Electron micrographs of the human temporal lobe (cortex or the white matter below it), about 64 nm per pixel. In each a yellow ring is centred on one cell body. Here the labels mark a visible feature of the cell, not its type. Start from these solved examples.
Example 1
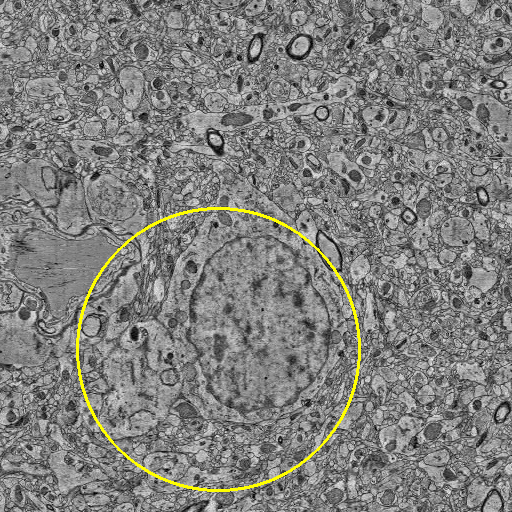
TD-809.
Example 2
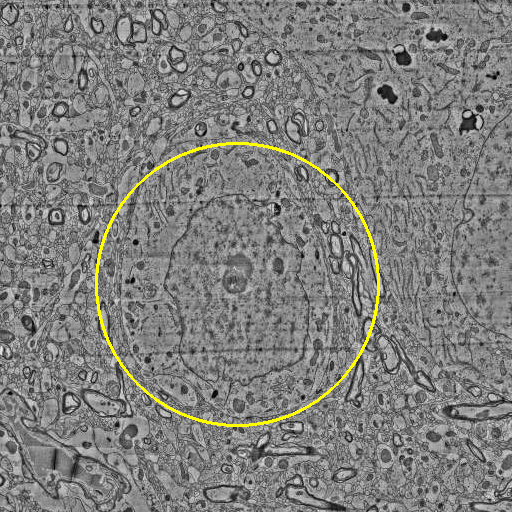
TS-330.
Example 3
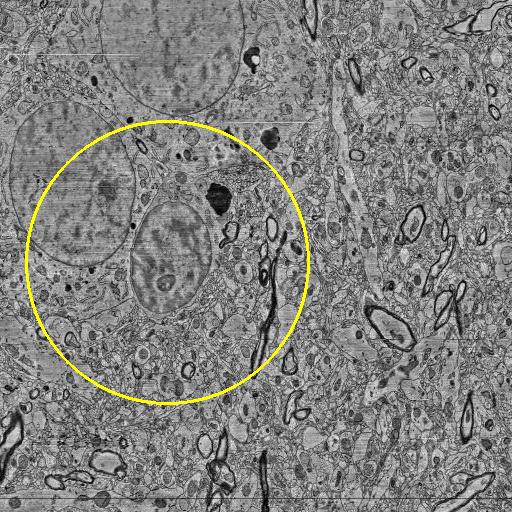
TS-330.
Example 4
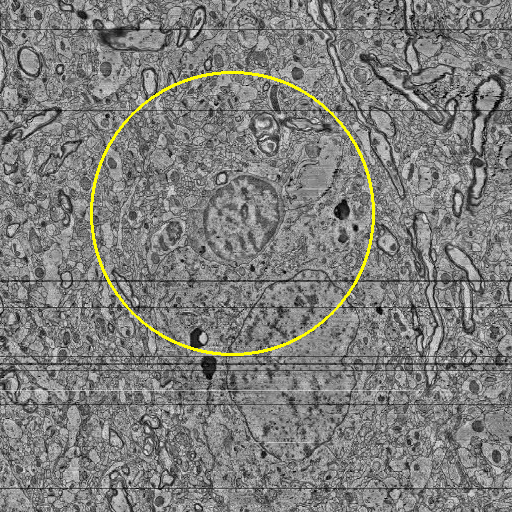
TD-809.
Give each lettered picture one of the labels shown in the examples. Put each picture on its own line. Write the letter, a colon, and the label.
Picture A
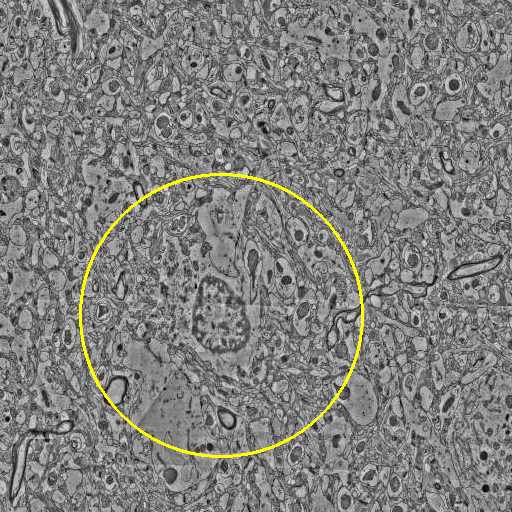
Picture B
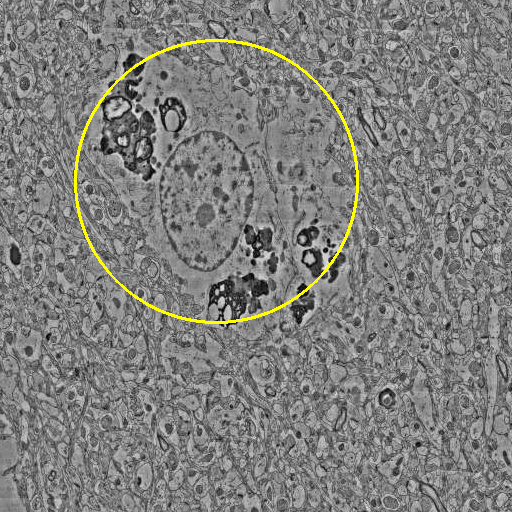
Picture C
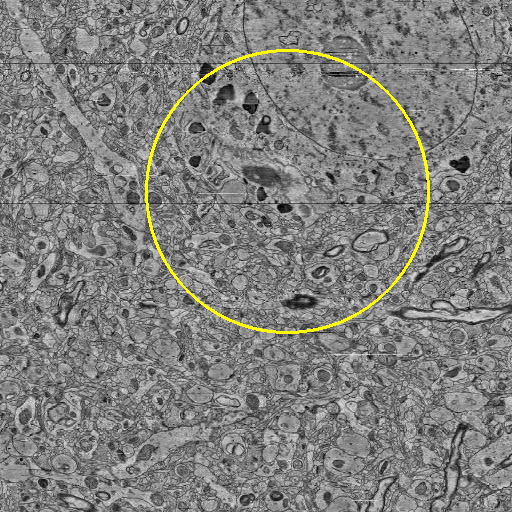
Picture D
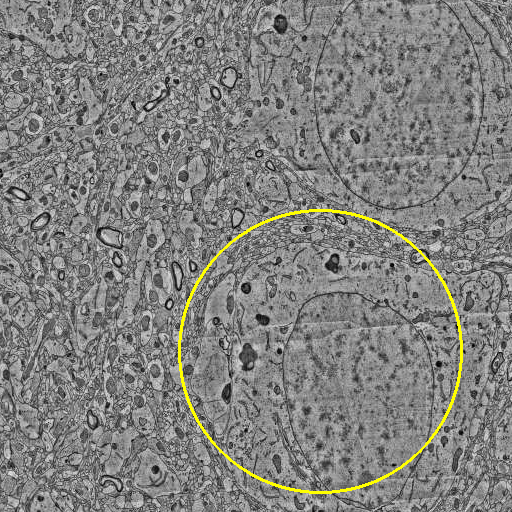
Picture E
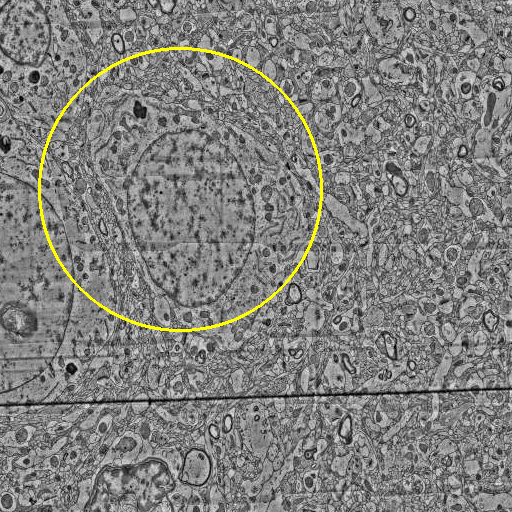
A: TD-809.
B: TS-330.
C: TS-330.
D: TD-809.
E: TD-809.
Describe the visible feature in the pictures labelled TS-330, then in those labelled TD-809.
TS-330: nucleolus seen; TD-809: no nucleolus seen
